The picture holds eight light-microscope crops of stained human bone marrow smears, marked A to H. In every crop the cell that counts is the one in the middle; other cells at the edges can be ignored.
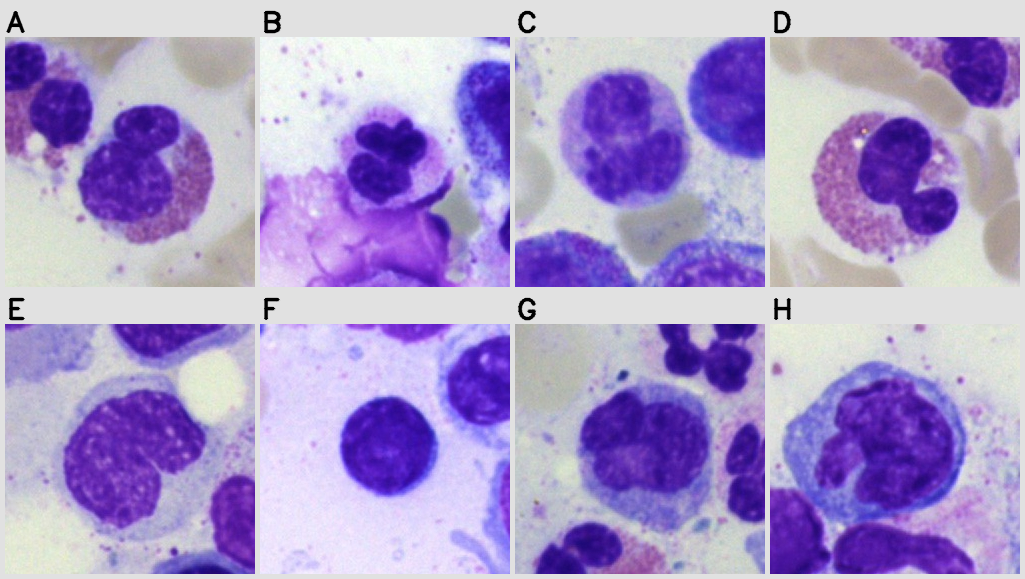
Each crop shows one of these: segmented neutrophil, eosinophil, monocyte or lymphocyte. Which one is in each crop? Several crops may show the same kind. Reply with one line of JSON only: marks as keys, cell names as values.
{"A": "eosinophil", "B": "segmented neutrophil", "C": "monocyte", "D": "eosinophil", "E": "monocyte", "F": "lymphocyte", "G": "monocyte", "H": "monocyte"}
